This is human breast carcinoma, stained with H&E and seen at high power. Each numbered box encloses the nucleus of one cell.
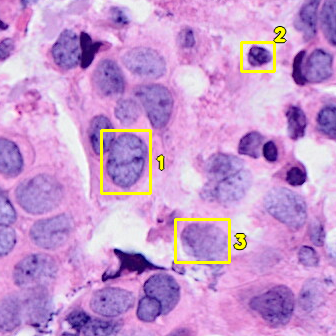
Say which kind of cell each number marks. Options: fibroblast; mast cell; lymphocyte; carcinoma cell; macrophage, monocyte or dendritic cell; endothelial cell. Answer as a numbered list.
1. carcinoma cell
2. lymphocyte
3. carcinoma cell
